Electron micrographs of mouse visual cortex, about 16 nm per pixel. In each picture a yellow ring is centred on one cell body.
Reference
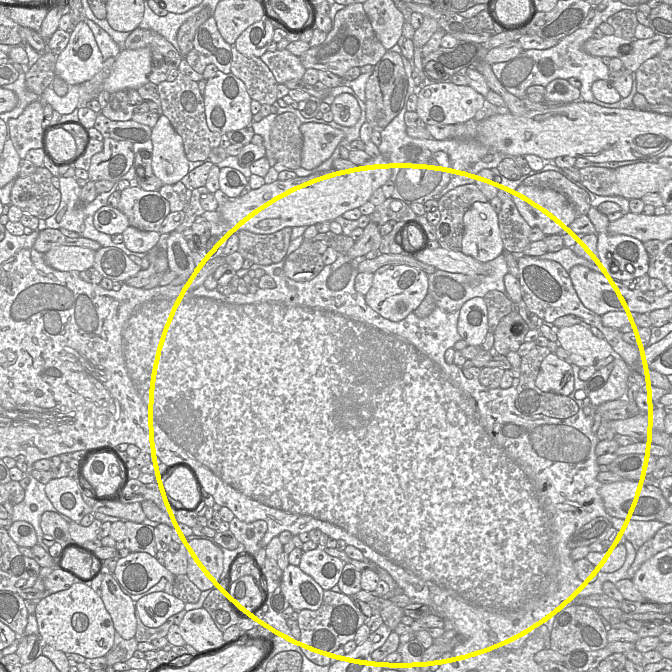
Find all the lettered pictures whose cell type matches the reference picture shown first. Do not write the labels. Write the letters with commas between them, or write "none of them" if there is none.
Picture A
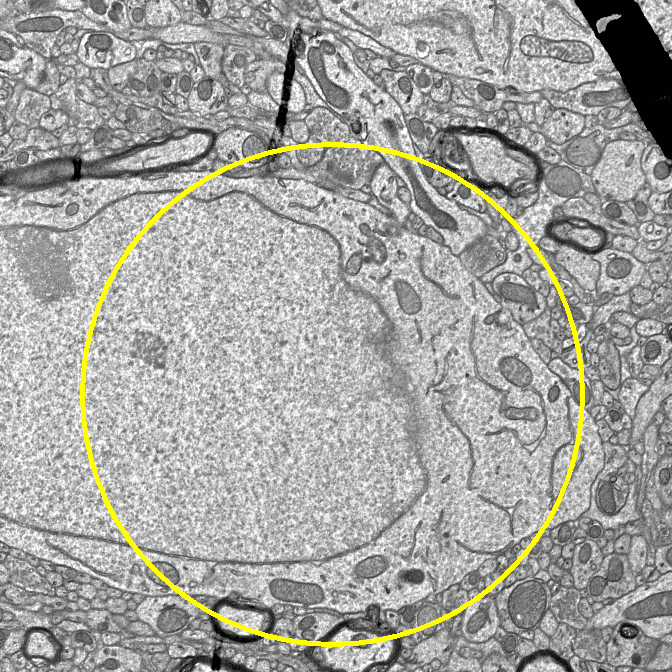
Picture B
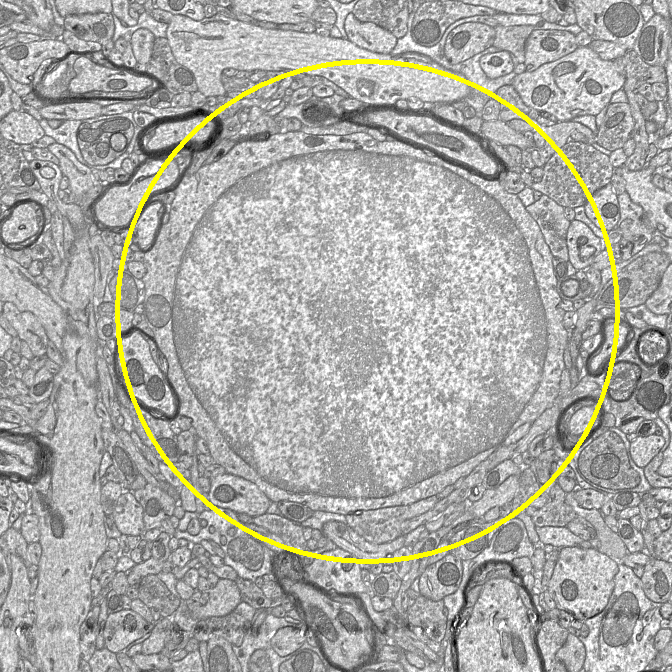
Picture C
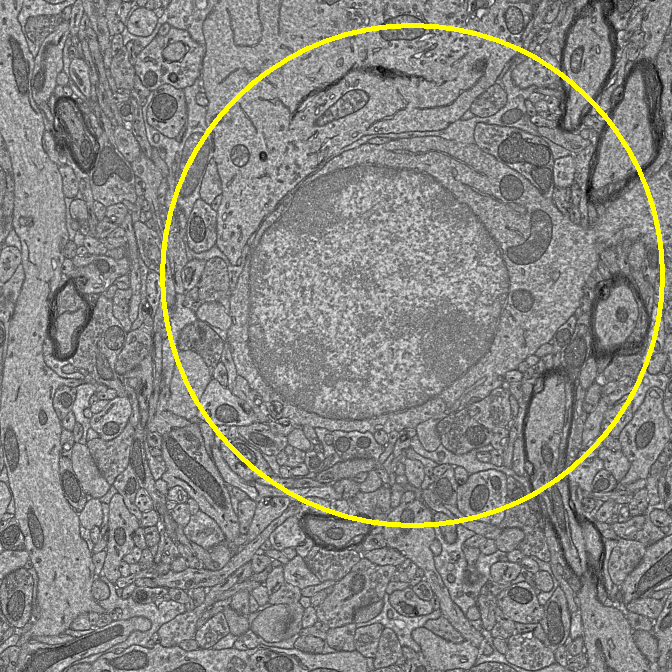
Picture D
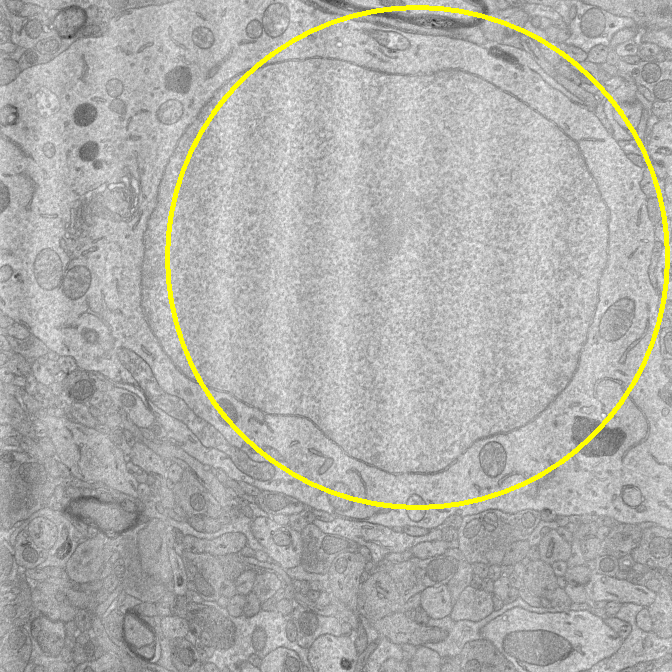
none of them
